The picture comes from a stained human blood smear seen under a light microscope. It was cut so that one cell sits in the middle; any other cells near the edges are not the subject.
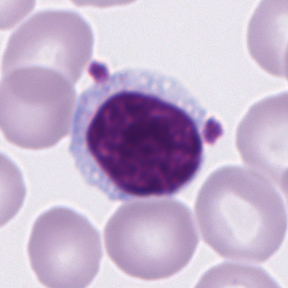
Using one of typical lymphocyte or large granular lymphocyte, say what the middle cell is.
typical lymphocyte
